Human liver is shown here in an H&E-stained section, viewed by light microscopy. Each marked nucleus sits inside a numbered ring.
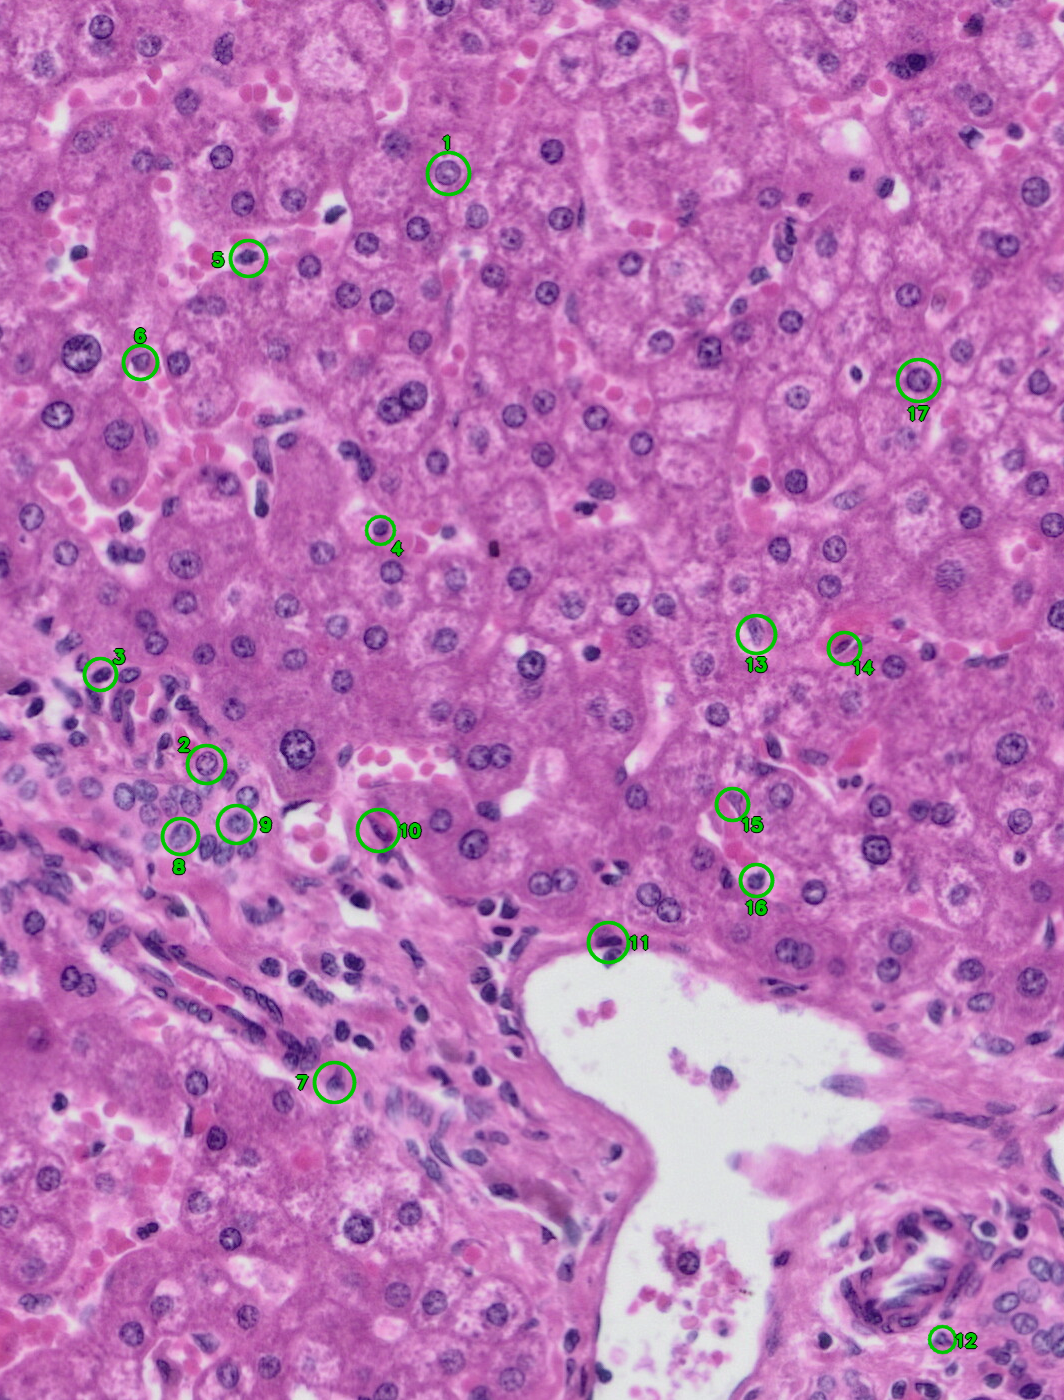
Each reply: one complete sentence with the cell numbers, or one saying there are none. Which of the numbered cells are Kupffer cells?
The cells tagged with numbers 6 and 13 are Kupffer cells.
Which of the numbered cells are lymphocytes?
The cells numbered 3, 4, 5 and 16 are of the kind known as lymphocytes.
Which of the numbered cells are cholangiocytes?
The cells that the numbers 2, 8 and 9 belong to are cholangiocytes.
